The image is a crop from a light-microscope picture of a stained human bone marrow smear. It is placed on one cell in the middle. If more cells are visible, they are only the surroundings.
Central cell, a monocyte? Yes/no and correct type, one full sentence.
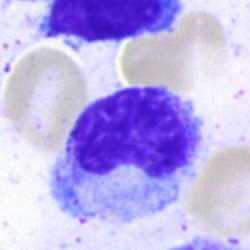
No; rather than a monocyte, the cell at the center is a metamyelocyte.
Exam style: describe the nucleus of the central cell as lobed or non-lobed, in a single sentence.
Worth pointing out that its nucleus is one compact mass, round, oval or reniform.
